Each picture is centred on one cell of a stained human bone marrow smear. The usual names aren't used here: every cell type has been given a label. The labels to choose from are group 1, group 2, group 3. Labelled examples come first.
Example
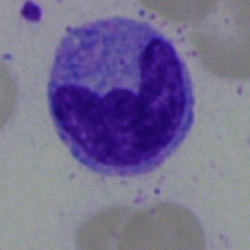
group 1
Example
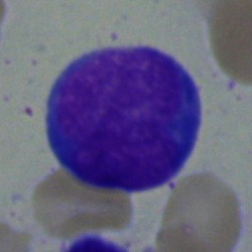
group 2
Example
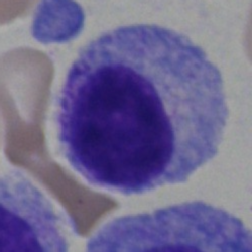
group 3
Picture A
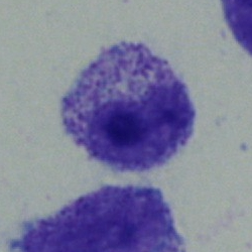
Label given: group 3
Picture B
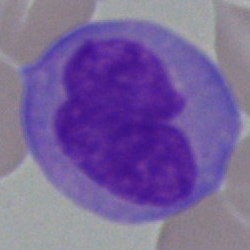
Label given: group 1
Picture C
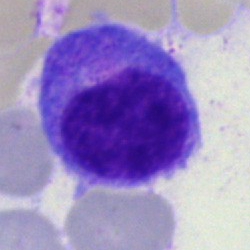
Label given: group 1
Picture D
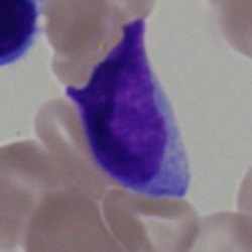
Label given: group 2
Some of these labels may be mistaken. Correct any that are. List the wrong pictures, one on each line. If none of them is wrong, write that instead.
Every label is right.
